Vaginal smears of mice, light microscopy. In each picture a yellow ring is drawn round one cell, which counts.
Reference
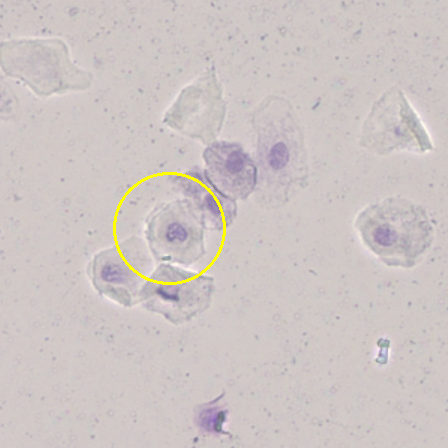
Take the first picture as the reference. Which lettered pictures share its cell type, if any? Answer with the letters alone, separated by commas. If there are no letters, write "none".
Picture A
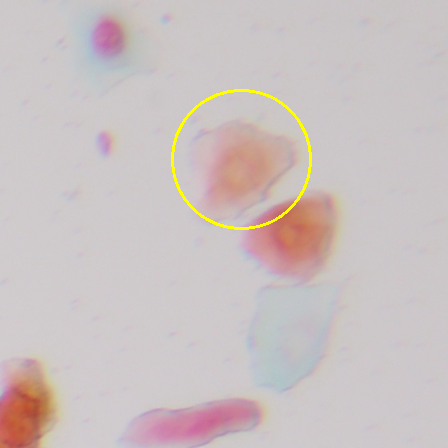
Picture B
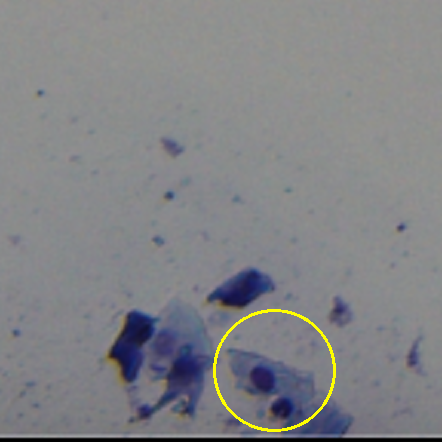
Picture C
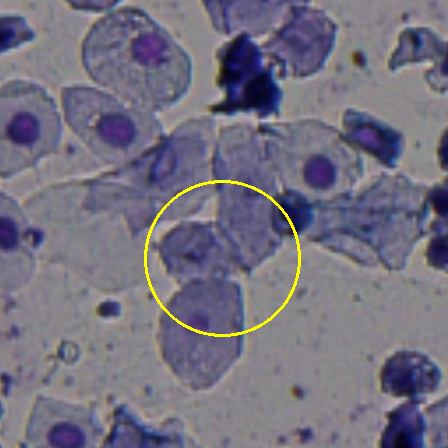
B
